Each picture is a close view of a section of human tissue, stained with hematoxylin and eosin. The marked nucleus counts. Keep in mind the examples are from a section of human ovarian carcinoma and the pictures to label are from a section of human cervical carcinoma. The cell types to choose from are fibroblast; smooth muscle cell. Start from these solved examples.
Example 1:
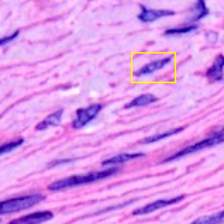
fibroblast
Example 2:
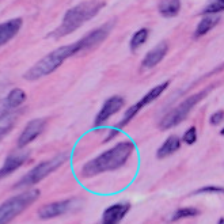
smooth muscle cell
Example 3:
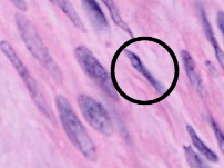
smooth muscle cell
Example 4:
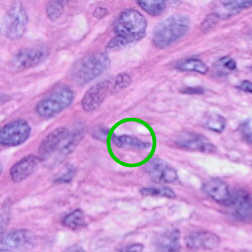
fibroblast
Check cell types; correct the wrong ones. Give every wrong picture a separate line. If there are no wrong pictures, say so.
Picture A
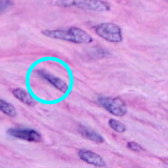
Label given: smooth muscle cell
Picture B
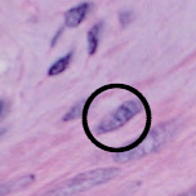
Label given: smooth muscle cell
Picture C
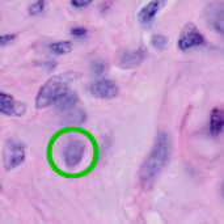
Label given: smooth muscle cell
C: not smooth muscle cell but fibroblast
